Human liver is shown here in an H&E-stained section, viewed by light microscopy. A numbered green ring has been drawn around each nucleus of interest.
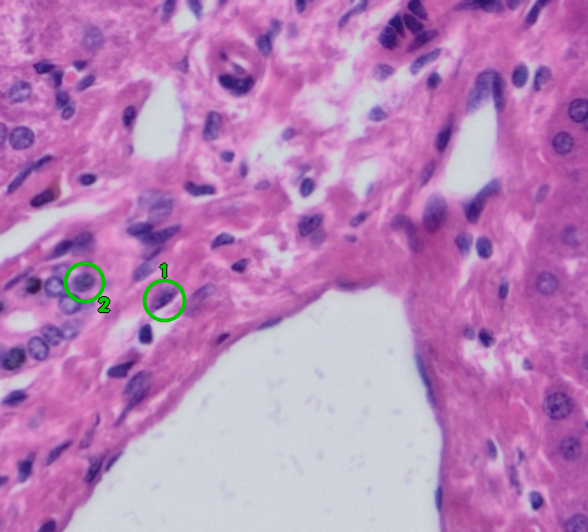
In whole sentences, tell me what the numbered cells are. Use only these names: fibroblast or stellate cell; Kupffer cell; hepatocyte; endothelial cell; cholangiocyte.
Cell 1 is a fibroblast or stellate cell and cell 2 is a cholangiocyte.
